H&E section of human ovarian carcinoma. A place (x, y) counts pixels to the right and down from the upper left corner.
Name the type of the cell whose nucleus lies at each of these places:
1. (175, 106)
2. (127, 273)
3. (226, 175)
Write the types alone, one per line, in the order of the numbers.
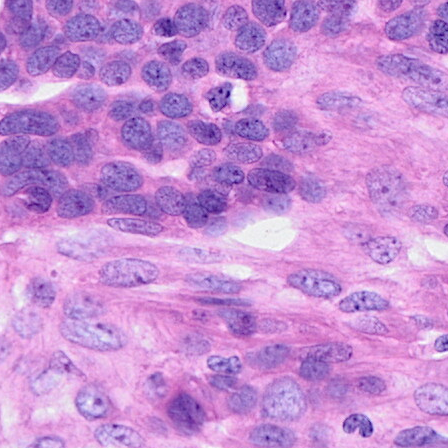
carcinoma cell
fibroblast
carcinoma cell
